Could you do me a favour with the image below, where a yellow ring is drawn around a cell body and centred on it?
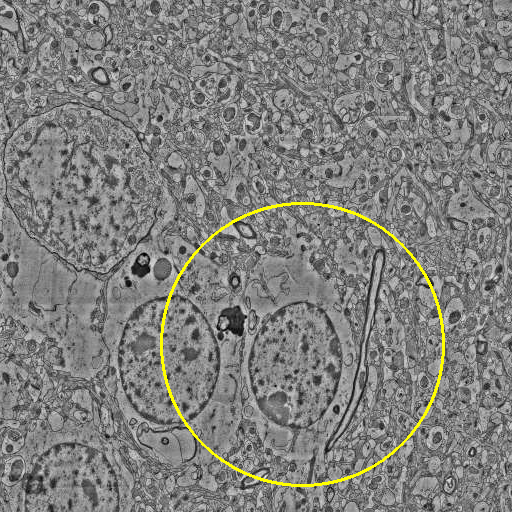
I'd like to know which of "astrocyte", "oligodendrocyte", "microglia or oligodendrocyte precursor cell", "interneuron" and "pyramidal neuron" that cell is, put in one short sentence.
The cell at the ring's centre is an astrocyte.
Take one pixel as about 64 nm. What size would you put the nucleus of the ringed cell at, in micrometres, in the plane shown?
Approximately 8 x 6 micrometres in this plane.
